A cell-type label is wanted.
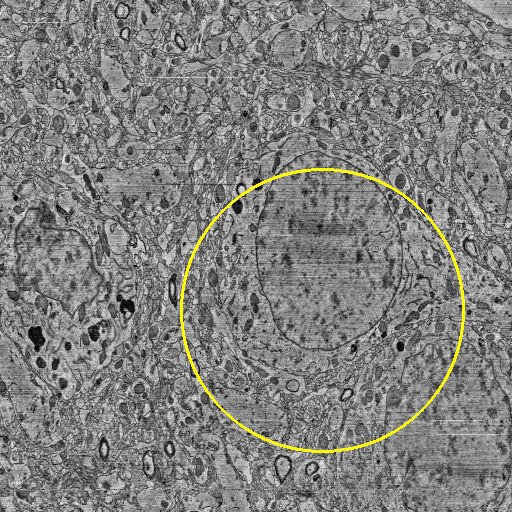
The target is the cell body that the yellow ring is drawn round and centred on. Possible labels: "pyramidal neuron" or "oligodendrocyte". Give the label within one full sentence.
Of the labels offered, the cell in the middle of the yellow ring is a pyramidal neuron.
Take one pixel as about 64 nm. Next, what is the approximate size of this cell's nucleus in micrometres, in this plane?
In this plane, the nucleus of the cell at the centre of the ring measures about 13 by 9 micrometres.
